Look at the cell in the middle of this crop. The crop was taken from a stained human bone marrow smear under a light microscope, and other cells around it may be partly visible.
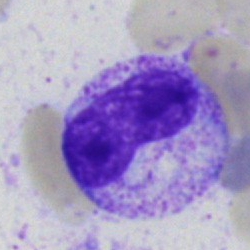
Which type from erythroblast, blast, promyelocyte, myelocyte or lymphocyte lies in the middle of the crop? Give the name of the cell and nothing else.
myelocyte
